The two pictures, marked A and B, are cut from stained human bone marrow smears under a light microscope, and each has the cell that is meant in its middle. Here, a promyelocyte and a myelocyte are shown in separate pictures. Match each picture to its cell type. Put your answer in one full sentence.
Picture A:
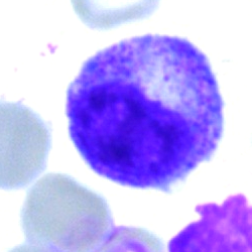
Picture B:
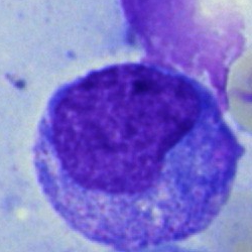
The cell in picture A is a myelocyte, and the one in picture B is a promyelocyte.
